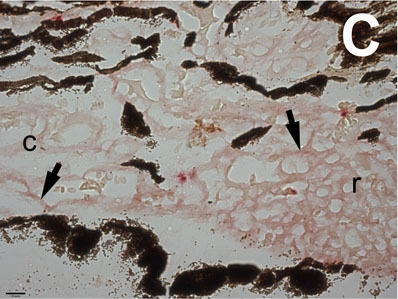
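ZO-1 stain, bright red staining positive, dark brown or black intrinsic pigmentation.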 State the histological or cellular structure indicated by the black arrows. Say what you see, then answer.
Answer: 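The arrows point at thin pink linings of a honeycomb of small vascular spaces. The lined meshwork lies between dark pigmented bands. On this evidence: choroidal and rete blood vessel endothelia.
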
